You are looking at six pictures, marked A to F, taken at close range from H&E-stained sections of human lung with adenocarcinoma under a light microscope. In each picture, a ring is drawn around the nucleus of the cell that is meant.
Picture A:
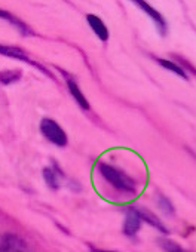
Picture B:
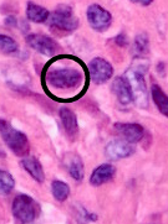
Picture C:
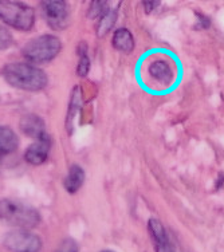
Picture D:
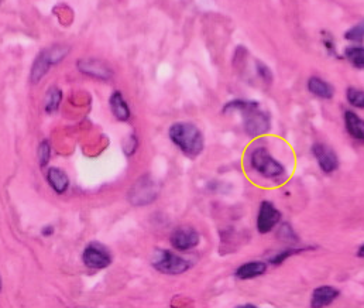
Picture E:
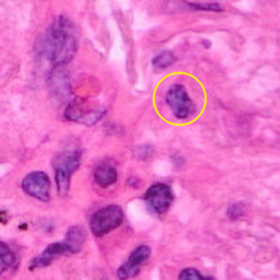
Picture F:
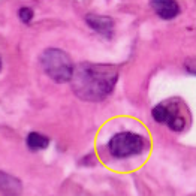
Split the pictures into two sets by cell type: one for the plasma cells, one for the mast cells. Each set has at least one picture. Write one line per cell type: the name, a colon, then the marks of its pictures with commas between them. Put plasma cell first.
plasma cell: A, B, D, F
mast cell: C, E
